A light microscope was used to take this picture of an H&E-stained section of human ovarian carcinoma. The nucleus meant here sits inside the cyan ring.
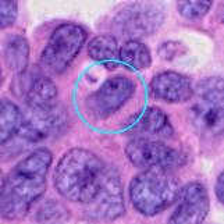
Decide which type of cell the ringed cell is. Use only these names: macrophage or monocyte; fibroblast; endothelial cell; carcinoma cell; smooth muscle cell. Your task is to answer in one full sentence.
Histopathologically, the ringed cell is a carcinoma cell.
